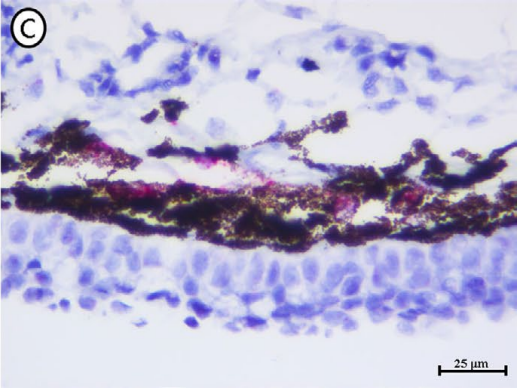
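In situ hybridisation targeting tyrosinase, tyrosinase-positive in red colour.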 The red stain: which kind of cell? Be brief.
Melanophores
